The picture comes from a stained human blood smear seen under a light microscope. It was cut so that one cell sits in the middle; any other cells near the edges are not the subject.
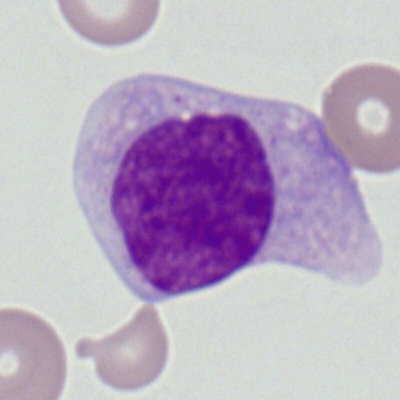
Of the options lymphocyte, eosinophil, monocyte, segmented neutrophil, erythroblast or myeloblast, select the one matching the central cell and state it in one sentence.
On this slide crop, the central cell is a monocyte.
